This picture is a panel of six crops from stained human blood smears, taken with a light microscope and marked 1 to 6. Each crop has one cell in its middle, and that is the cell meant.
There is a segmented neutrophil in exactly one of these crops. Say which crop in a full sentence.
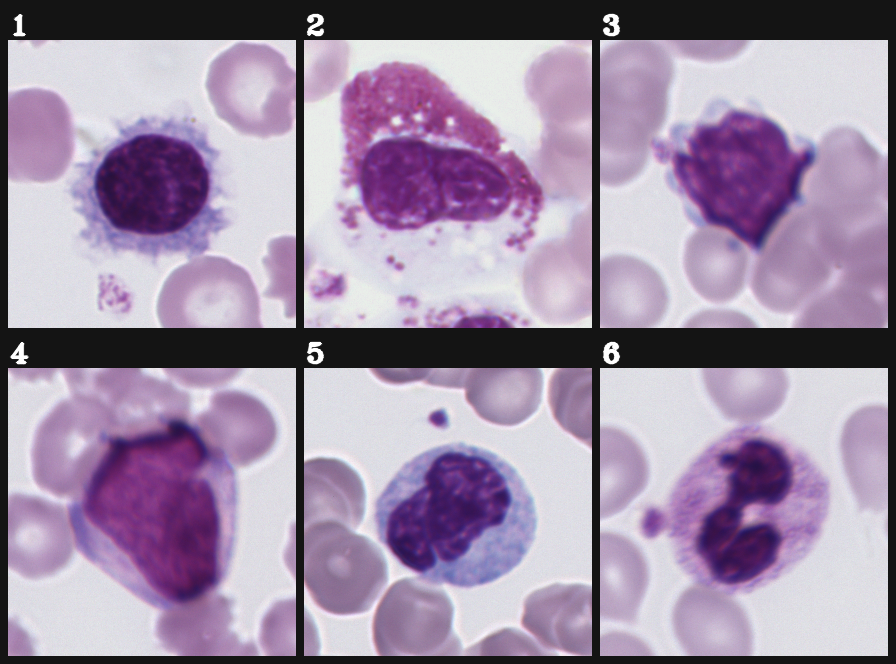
Among these crops, crop 6 holds a segmented neutrophil.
